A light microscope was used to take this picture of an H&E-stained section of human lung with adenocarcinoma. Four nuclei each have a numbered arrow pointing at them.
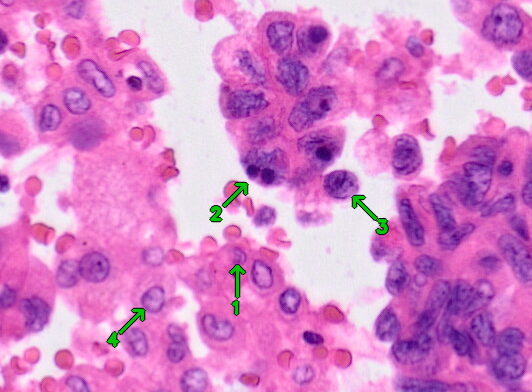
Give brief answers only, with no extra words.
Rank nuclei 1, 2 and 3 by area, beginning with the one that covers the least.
1, 3, 2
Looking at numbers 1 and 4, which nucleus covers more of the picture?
4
